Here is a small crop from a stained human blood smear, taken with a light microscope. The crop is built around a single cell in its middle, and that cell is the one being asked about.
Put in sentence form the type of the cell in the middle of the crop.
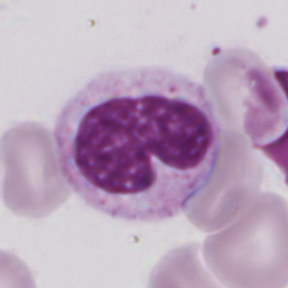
The identification for the central cell is a band neutrophil.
